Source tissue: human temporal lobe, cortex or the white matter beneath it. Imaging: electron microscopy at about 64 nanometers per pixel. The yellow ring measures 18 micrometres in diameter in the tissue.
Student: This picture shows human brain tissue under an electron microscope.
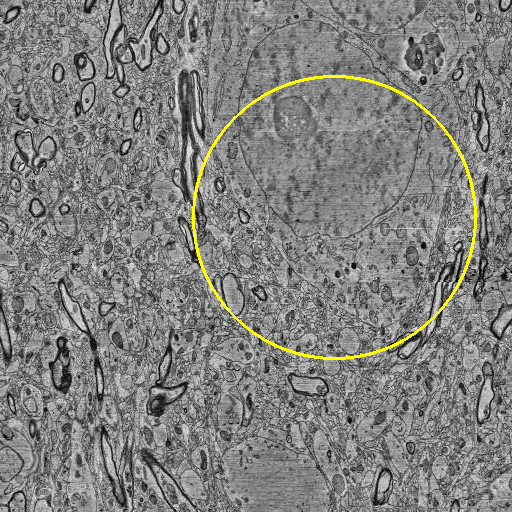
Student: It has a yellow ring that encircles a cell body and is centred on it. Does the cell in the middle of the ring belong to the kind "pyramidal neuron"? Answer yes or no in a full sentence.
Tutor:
Yes, the cell in the middle of the ring in this picture is of that kind.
